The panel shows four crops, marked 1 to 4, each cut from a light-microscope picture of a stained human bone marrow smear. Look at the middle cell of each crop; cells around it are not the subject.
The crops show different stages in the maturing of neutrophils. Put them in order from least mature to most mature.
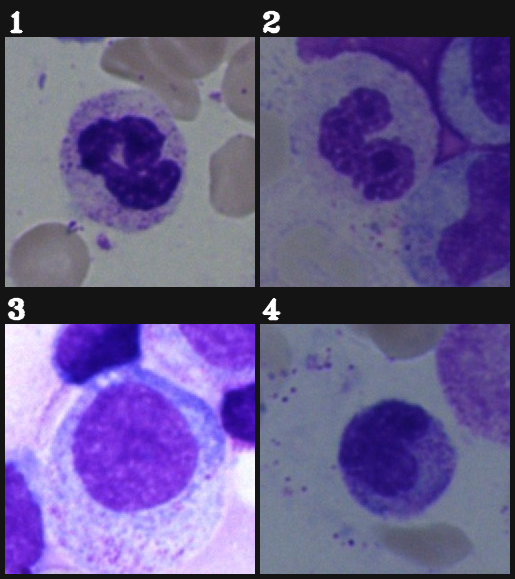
3, 4, 2, 1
